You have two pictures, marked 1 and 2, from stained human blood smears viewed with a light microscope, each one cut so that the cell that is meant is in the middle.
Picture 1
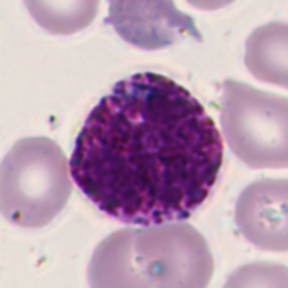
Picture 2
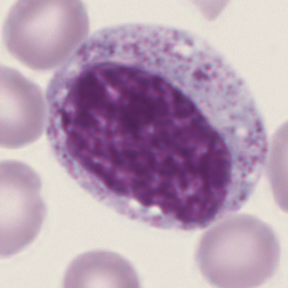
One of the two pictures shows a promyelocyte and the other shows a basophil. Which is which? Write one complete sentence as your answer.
Picture 1 shows a basophil and picture 2 shows a promyelocyte.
